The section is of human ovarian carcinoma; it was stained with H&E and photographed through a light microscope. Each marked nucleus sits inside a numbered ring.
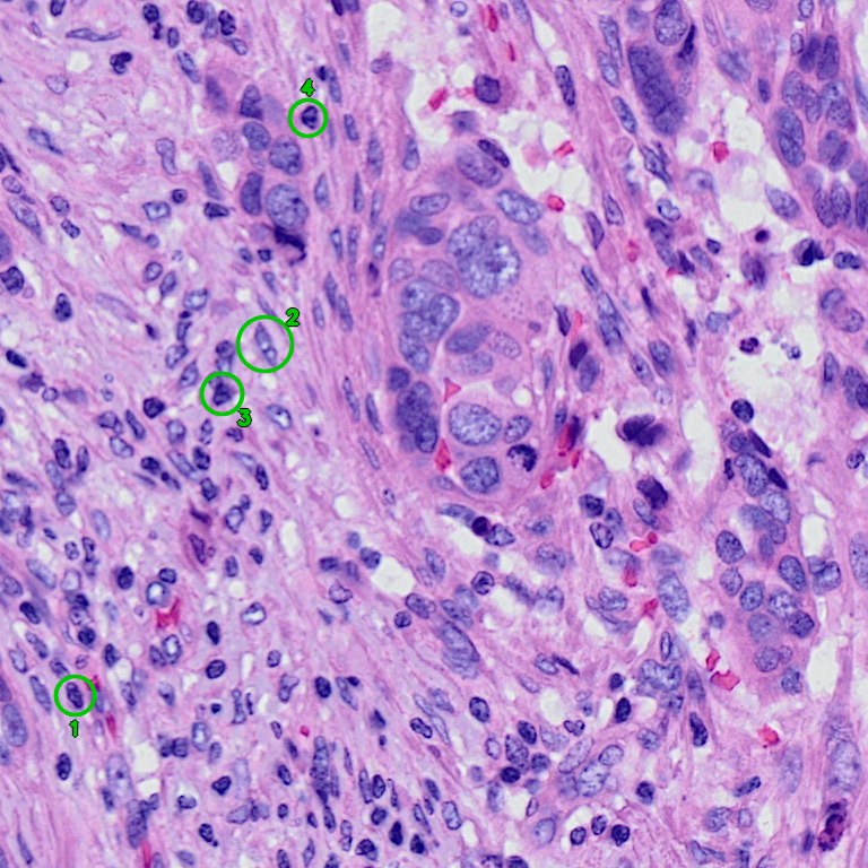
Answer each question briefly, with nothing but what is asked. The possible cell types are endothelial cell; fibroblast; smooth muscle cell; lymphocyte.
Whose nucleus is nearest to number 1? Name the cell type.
endothelial cell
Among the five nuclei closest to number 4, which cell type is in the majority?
fibroblast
